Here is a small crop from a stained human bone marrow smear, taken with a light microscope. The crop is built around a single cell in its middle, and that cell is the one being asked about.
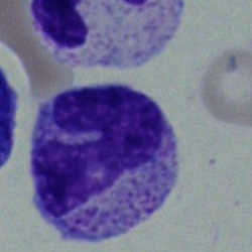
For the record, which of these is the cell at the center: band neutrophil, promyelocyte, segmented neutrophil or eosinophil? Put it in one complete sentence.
The central cell, amid any neighbouring cells, is a band neutrophil.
